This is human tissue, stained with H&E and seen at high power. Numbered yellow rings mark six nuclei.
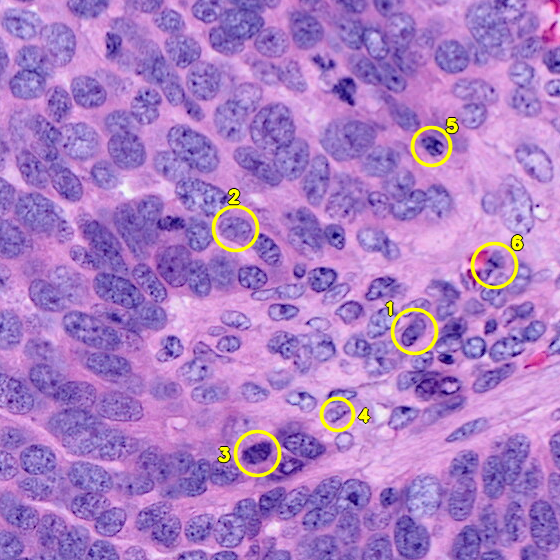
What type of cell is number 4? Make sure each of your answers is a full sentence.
The cell with the number 4 is a fibroblast.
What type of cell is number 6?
Number 6 among the marked cells is an endothelial cell.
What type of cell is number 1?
Identified by the number 1, the cell is an endothelial cell.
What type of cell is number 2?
Cell 2 in the field of view is a carcinoma cell.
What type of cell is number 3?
The one labeled 3 is a carcinoma cell, to put it simply.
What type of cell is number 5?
Number 5 among the marked cells is a lymphocyte.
